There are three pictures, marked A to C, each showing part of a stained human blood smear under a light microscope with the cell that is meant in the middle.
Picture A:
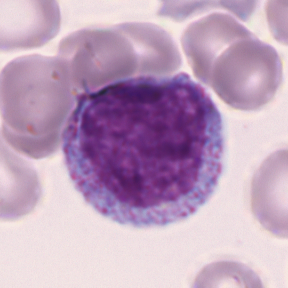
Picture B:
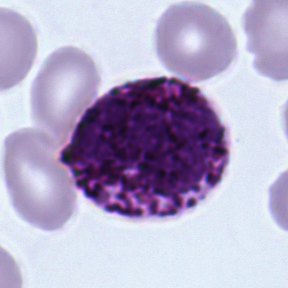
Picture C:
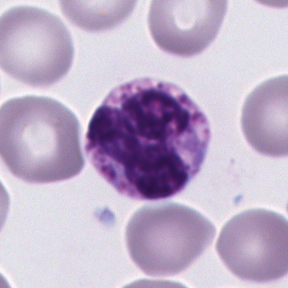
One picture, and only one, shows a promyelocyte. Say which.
A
